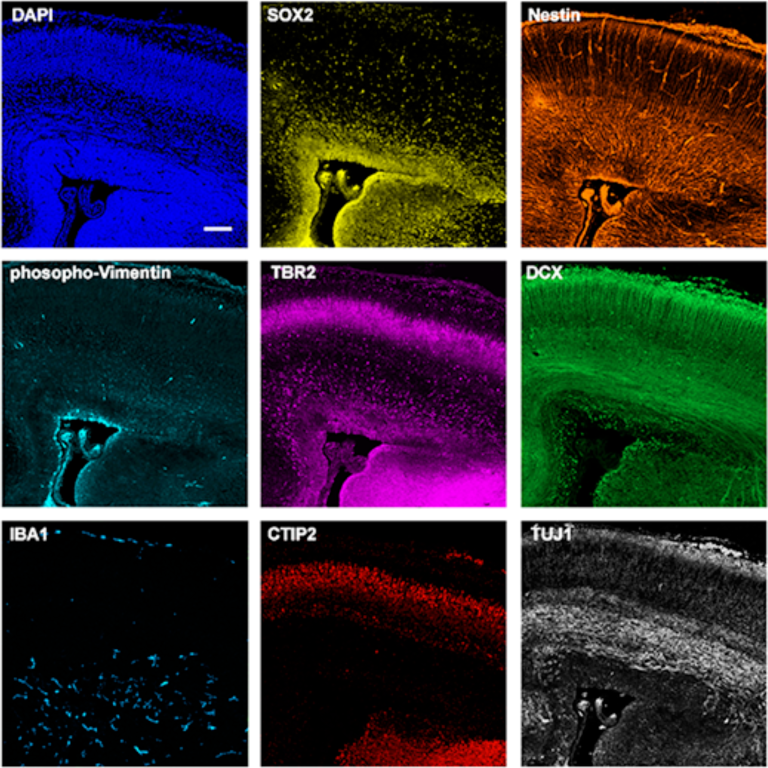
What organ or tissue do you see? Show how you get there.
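Cortical section. A thick wall of tissue with parallel layers curves over a ventricle-like cavity. Radial fibres run across the wall from the cavity to the outer surface.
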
